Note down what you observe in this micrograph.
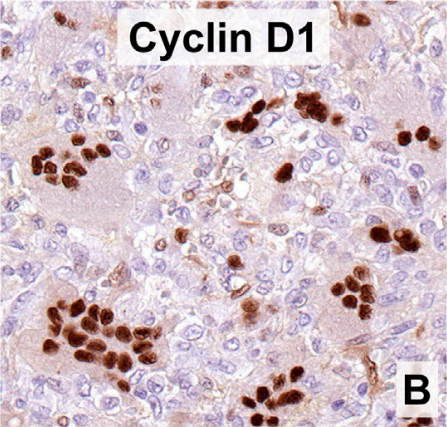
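Section of a giant cell tumour showing scattered multinucleated giant cells among densely packed smaller mononuclear cells. Each giant cell has a broad, pale cytoplasm holding a tight cluster of many round to oval nuclei, which are stained dark brown. The smaller surrounding cells have single oval nuclei that are mostly blue, with only occasional brown ones.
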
